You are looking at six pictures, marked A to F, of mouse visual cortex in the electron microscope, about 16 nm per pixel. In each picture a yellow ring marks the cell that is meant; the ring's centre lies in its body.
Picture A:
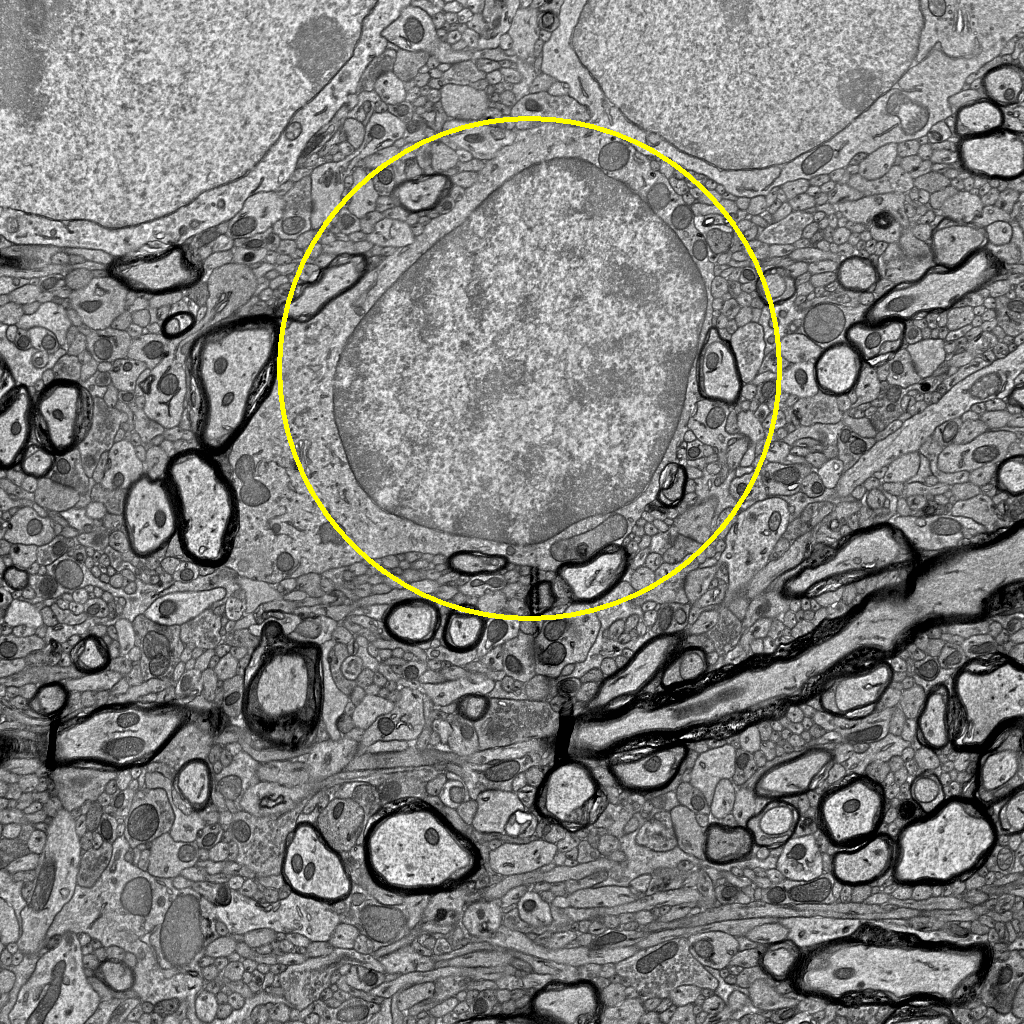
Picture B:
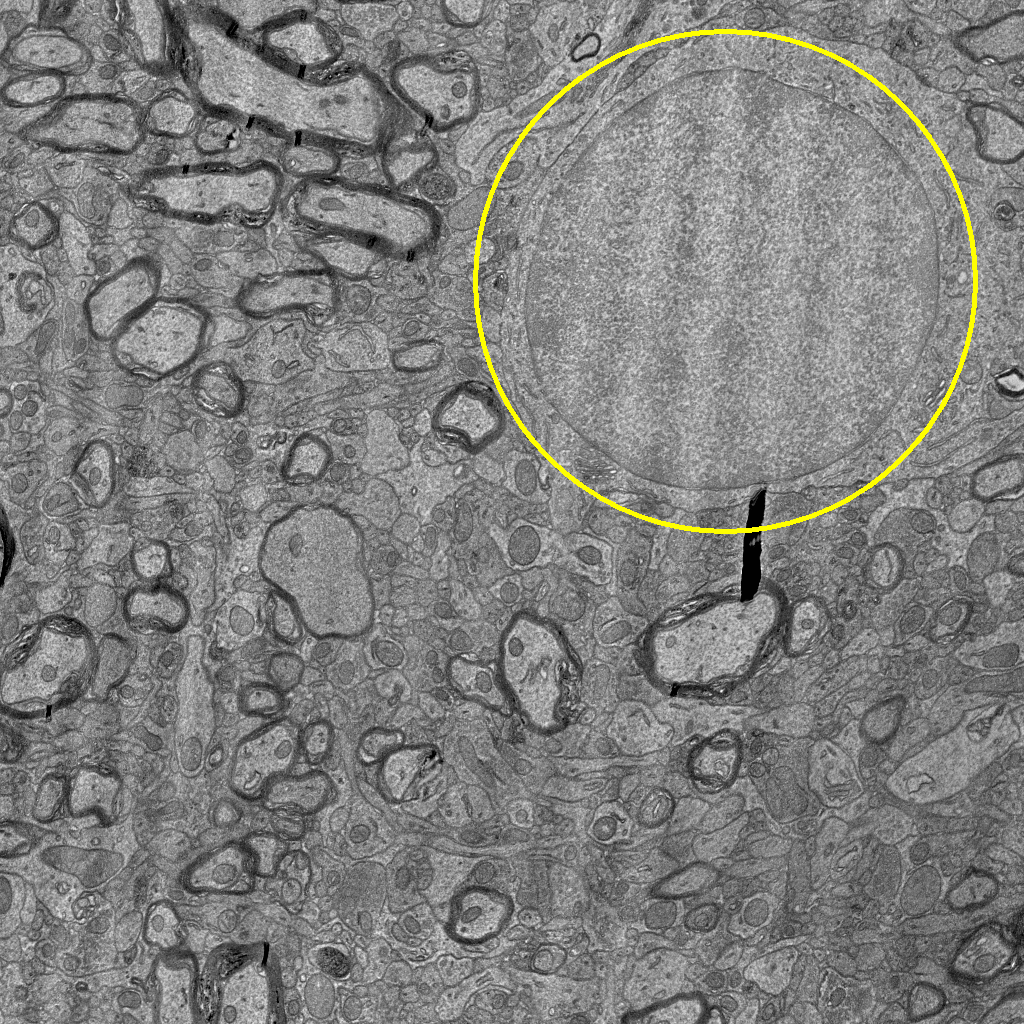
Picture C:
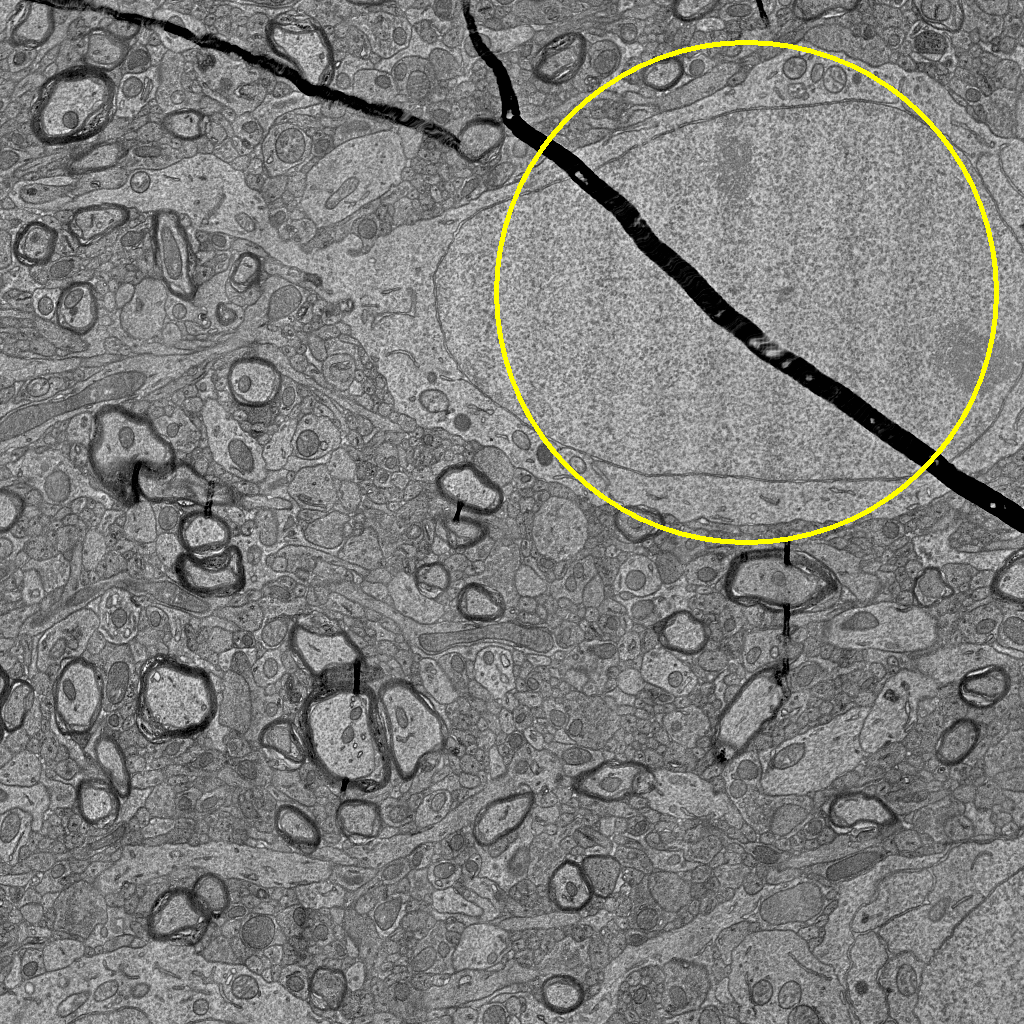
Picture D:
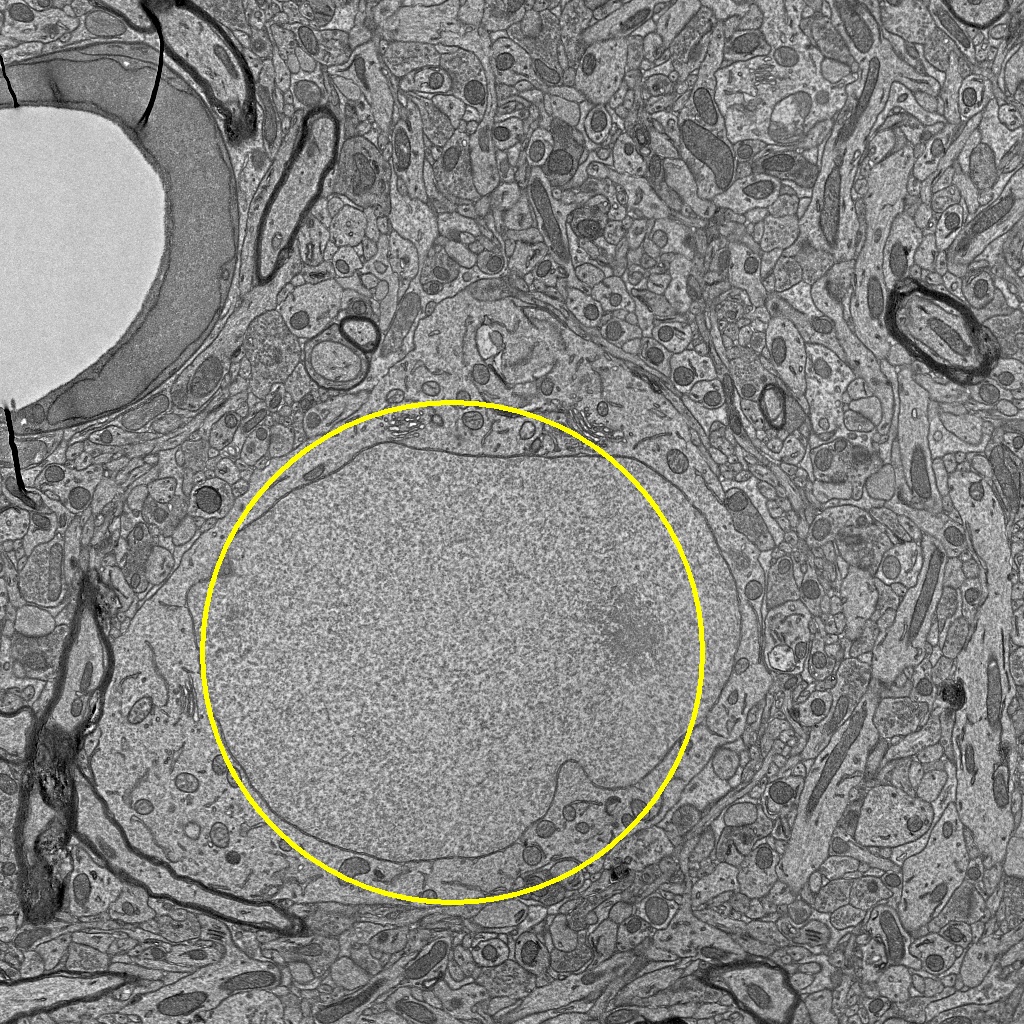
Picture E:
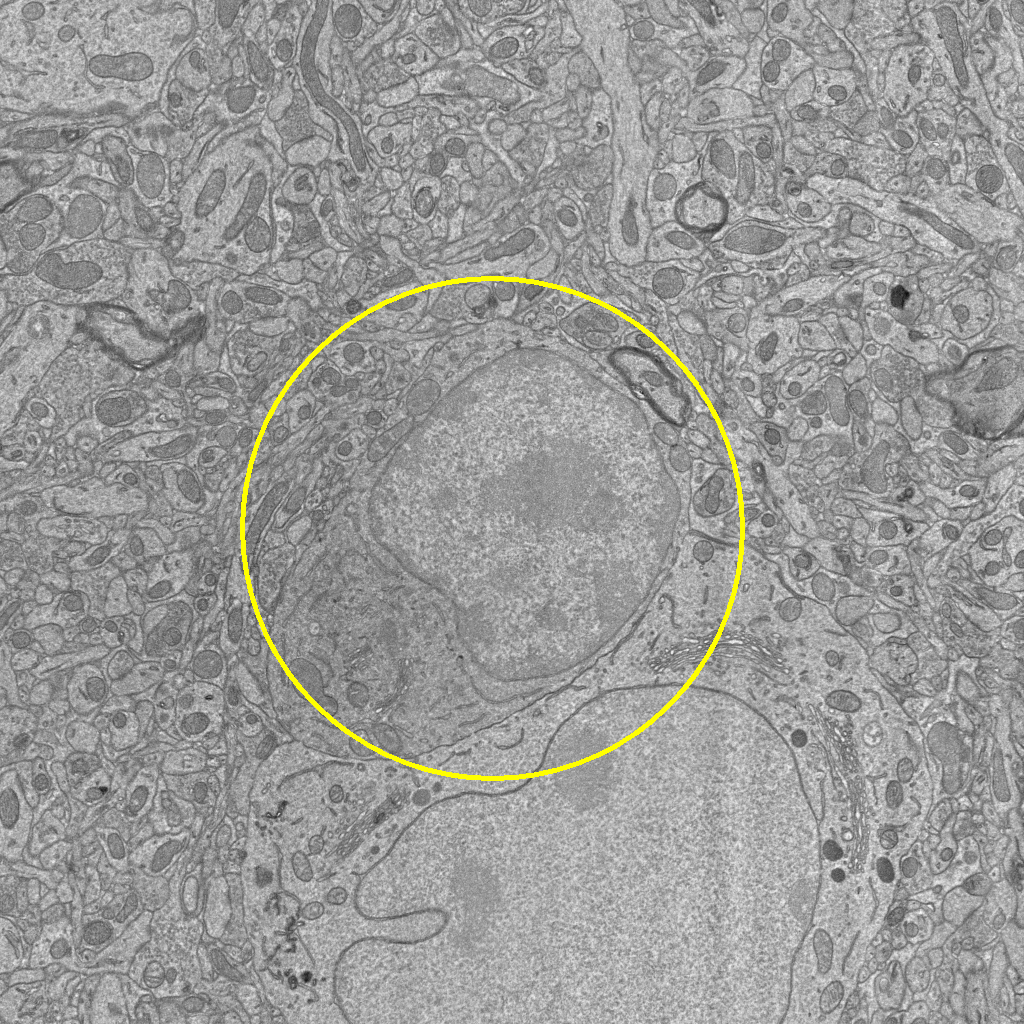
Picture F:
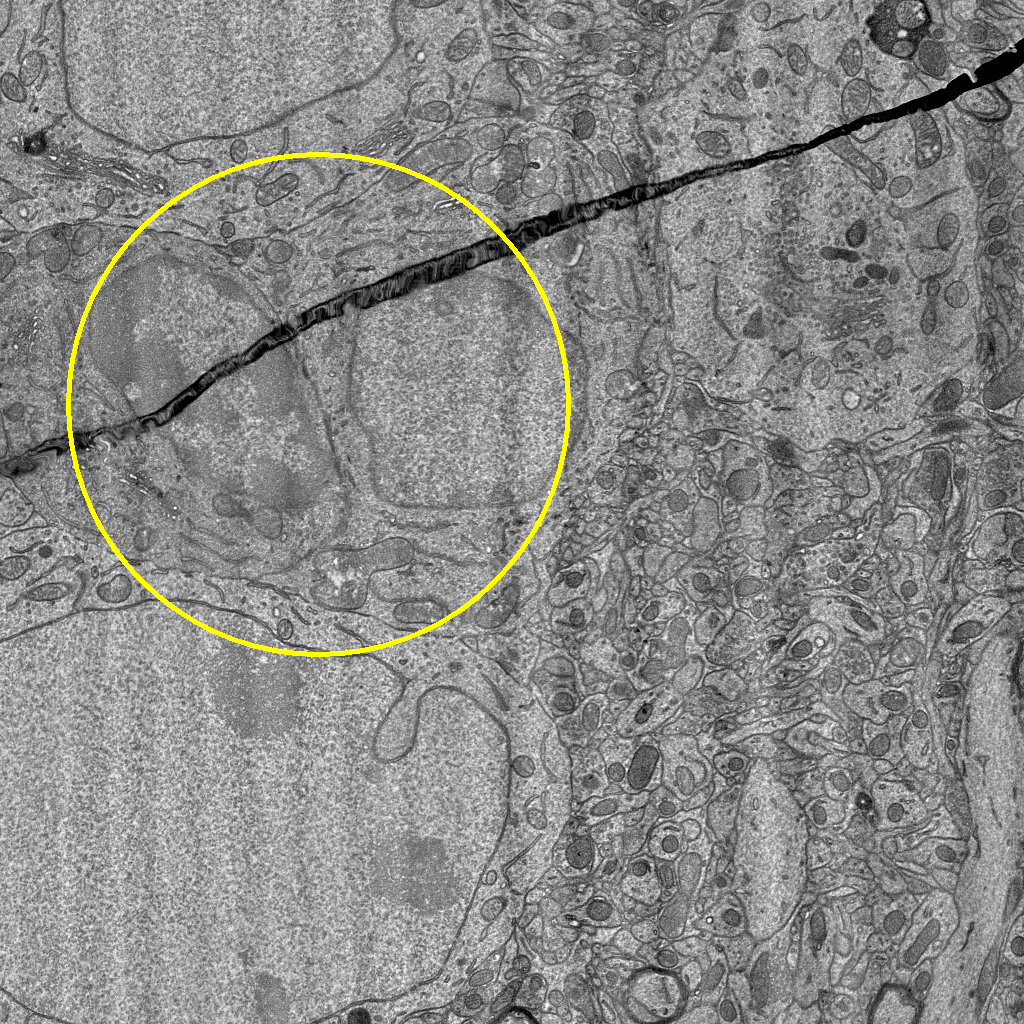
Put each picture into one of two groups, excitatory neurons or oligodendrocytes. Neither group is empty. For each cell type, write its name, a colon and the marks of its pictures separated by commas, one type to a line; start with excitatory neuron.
excitatory neuron: C, D
oligodendrocyte: A, B, E, F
